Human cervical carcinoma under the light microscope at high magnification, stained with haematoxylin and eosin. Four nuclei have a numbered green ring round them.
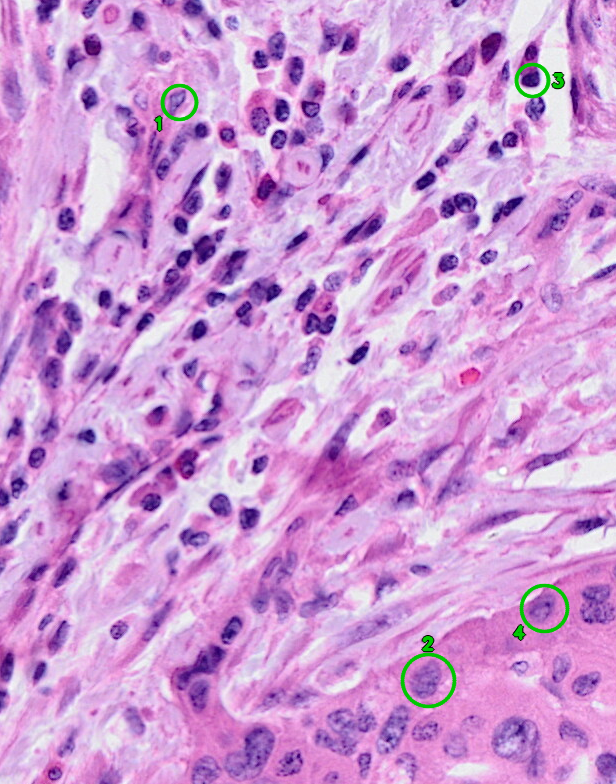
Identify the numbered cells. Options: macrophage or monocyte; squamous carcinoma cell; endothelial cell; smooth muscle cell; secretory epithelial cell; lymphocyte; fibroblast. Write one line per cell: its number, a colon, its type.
1: endothelial cell
2: squamous carcinoma cell
3: lymphocyte
4: squamous carcinoma cell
